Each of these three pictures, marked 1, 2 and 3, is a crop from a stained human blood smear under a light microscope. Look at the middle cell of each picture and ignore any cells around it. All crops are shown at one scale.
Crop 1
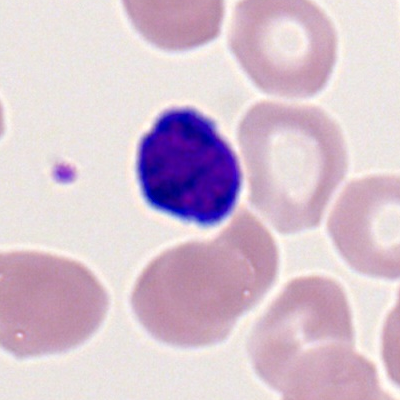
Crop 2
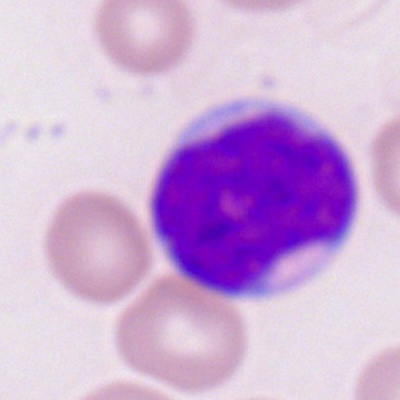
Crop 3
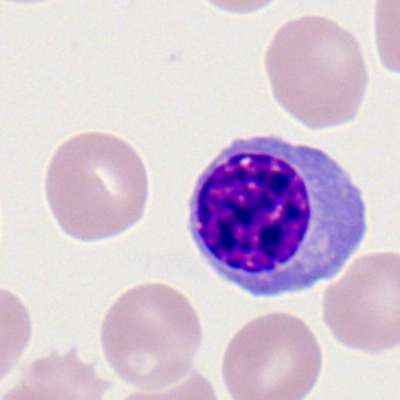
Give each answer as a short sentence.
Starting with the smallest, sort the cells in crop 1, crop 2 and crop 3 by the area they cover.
The order is 1, 3, 2, beginning with the smallest.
